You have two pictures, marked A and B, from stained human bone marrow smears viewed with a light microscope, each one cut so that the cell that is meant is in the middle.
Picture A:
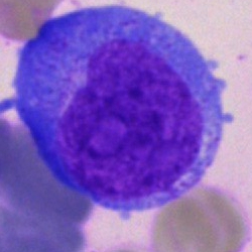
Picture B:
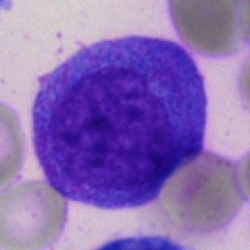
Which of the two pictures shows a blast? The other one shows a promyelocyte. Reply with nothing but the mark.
A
